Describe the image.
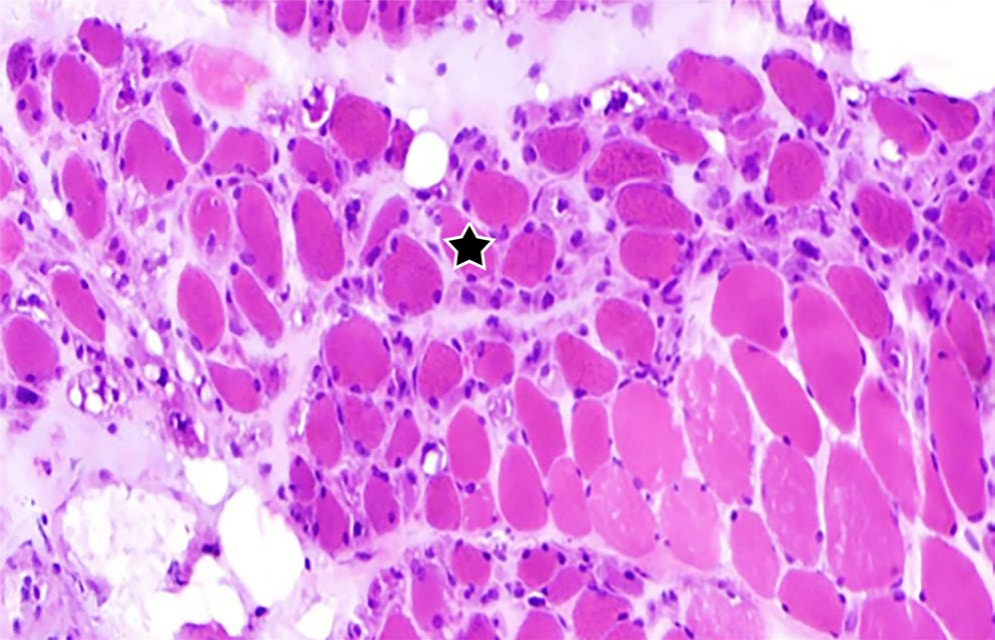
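This is skeletal muscle in cross-section, with fascicles of muscle fibers that differ sharply in size. Along the edges of the fascicles, especially at the top and left, the fibers are small and rounded to angular, and they stain a deeper purple-pink than the rest. Many dark nuclei crowd the spaces between these small fibers. Toward the lower right the fibers are larger, polygonal, pale pink, and closely packed.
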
